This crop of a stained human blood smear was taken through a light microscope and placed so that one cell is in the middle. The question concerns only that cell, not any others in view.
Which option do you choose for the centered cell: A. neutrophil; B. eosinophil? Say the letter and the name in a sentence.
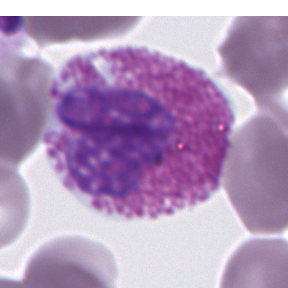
The correct option, B, names the middle cell as an eosinophil.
